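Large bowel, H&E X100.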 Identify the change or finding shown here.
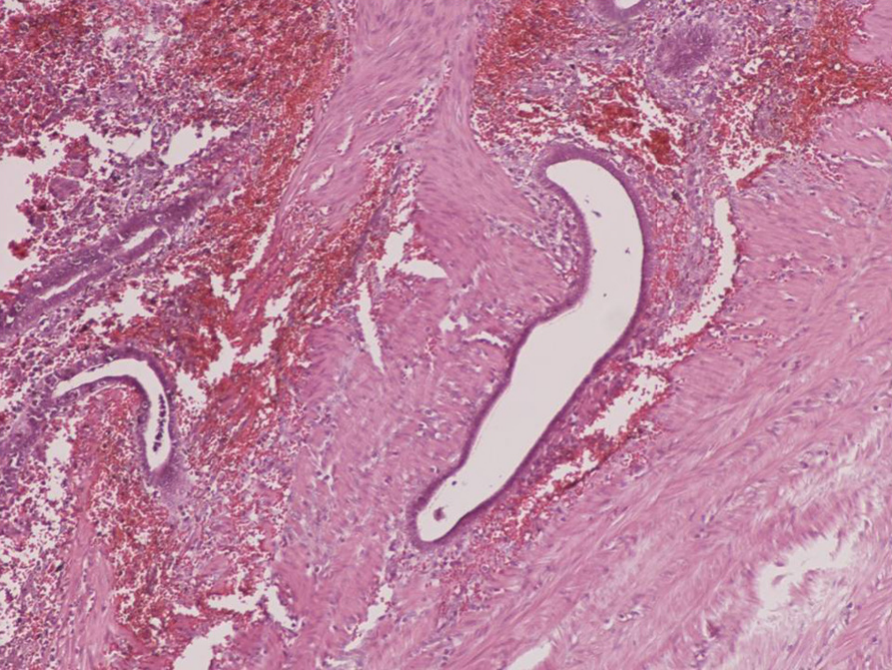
Hemorrhange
